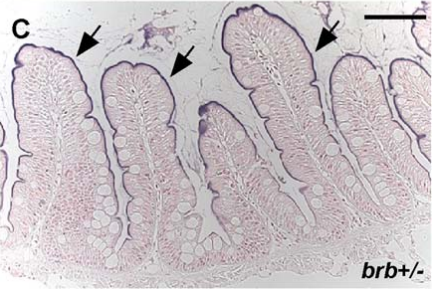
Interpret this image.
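Tall finger-like folds of intestinal lining are covered by a single layer of tall columnar cells with elongated nuclei in pinkish cytoplasm, and a thin dark purple band runs along their free, luminal surface. Scattered among the columnar cells are many round, pale, empty-looking cells, clustered especially along the sides of the folds.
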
